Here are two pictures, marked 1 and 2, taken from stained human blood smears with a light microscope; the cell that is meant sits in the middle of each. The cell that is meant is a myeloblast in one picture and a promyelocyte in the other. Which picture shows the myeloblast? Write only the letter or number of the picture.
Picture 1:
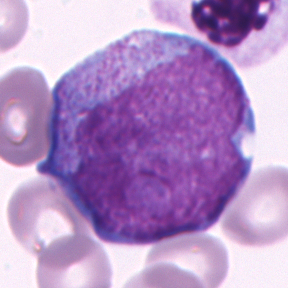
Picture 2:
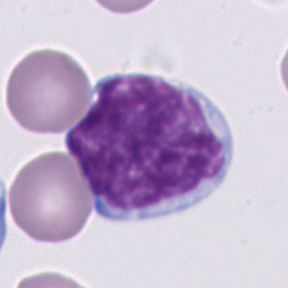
2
